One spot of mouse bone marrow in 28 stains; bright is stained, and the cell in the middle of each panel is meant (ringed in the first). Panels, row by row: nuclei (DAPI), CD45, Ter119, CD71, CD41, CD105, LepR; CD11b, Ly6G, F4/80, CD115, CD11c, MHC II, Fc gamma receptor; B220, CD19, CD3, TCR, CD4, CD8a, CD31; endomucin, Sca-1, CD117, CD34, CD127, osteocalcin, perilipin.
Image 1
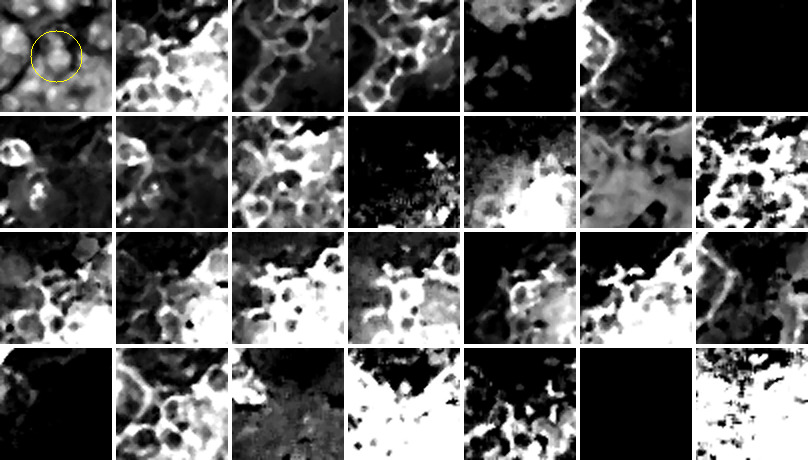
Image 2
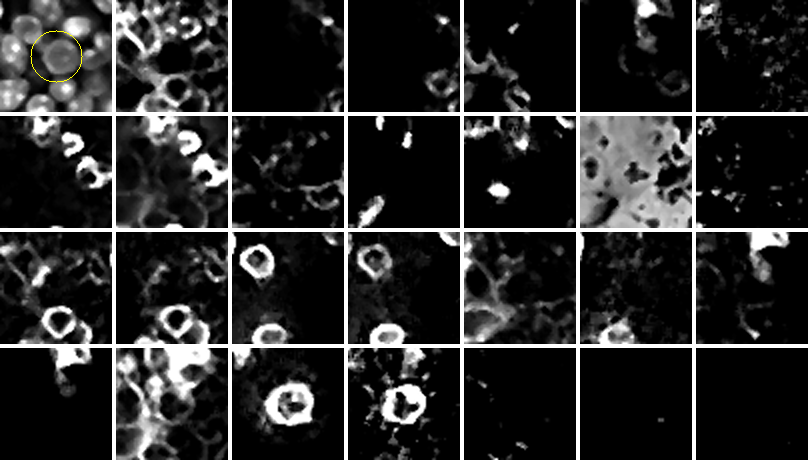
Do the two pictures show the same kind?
No: a conventional dendritic cell, then a KLS stem or progenitor cell.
